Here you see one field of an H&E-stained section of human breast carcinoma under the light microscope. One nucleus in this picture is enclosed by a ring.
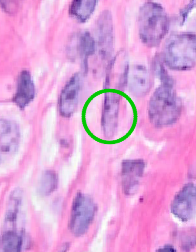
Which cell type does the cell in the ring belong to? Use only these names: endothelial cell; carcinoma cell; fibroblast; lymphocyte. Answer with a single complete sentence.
The identity of the cell in the ring is that of an endothelial cell.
